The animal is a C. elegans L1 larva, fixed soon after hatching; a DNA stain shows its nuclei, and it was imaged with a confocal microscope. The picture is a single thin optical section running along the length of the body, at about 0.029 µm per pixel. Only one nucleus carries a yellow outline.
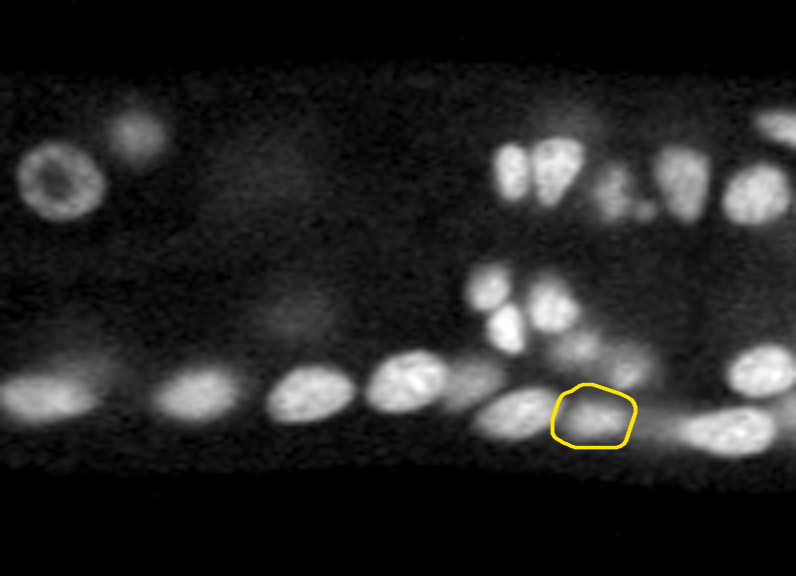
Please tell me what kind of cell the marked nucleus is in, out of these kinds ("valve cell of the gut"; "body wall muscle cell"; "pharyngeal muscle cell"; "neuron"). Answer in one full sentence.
The marked cell is a neuron.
